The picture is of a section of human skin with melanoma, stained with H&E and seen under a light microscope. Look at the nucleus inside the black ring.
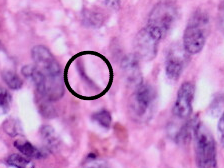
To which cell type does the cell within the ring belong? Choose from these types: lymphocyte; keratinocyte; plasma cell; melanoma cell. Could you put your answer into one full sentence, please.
In the context of this tissue, the cell within the ring is a melanoma cell.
